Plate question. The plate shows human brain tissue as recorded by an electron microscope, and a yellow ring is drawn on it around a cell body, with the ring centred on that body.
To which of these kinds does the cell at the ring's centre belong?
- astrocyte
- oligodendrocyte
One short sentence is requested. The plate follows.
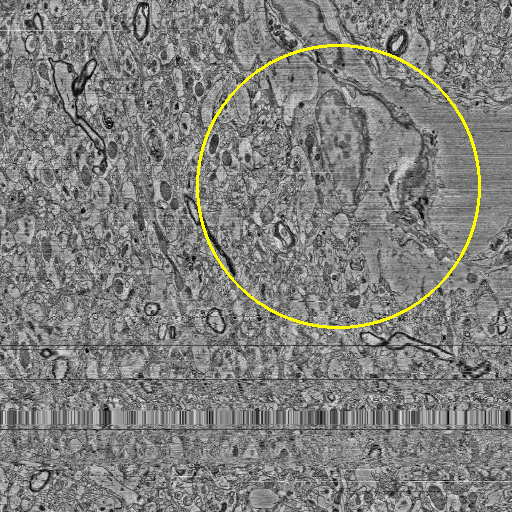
The cell at the ring's centre is an oligodendrocyte.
